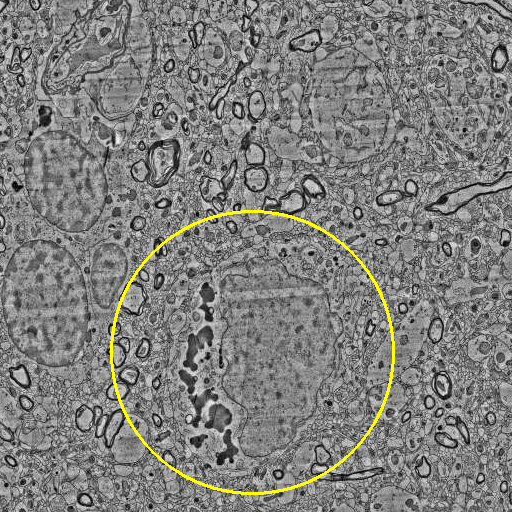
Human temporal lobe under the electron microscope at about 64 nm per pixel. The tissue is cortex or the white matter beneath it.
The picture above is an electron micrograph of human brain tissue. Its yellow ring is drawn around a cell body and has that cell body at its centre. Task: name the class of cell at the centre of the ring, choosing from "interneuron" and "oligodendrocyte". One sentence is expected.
The ring surrounds the body of an interneuron.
